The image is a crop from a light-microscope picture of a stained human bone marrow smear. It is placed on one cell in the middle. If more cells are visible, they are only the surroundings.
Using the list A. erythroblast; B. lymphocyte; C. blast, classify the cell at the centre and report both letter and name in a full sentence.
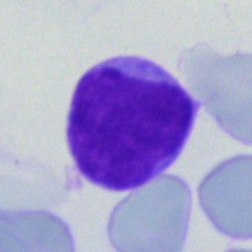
Answer key: option C, the middle cell being a blast.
